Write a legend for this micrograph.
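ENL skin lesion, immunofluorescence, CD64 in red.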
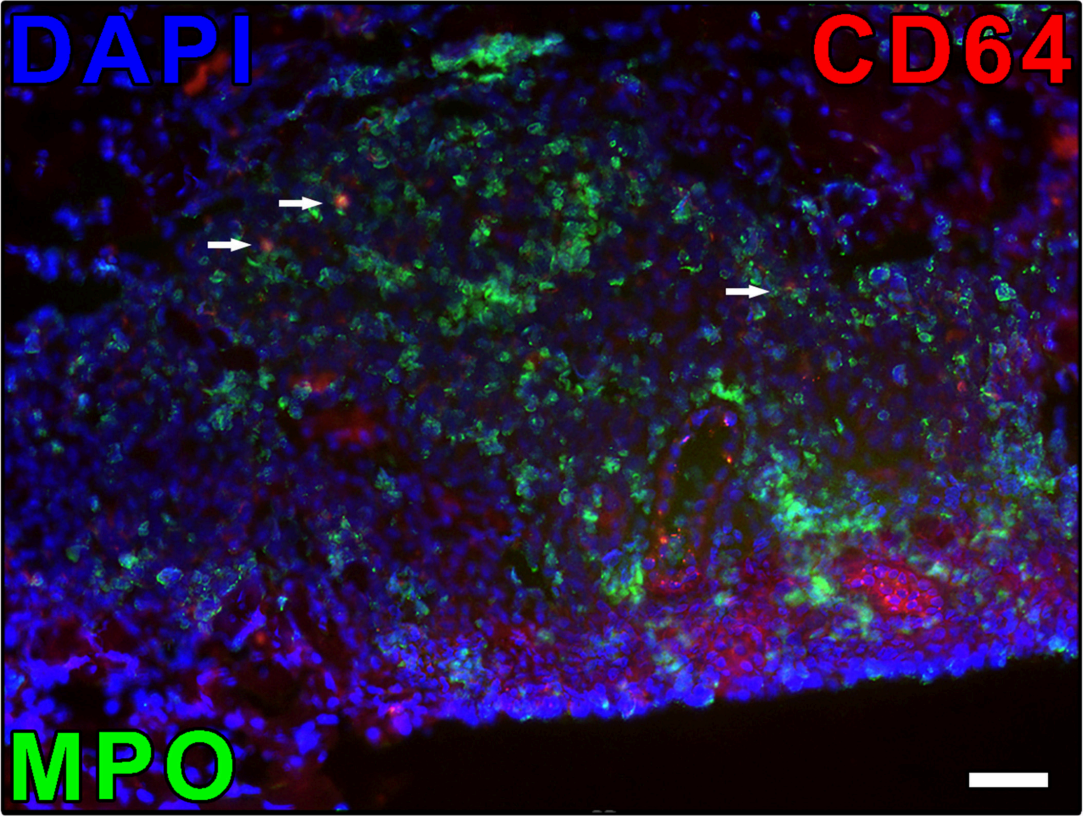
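Red label is faint and patchy, strongest along the lower edge of the section and around a small vessel-like channel in the lower middle. A few small spots where red and green overlap appear orange-yellow.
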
